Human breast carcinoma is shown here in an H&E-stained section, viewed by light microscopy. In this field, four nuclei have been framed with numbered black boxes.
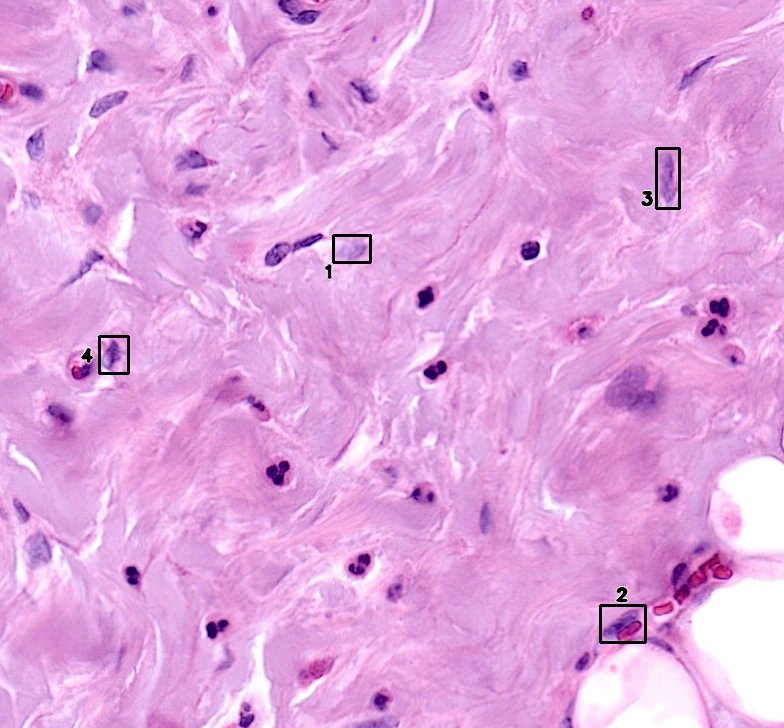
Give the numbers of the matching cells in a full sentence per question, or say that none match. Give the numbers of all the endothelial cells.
Only the cell numbered 2 is an endothelial cell; none of the others is.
